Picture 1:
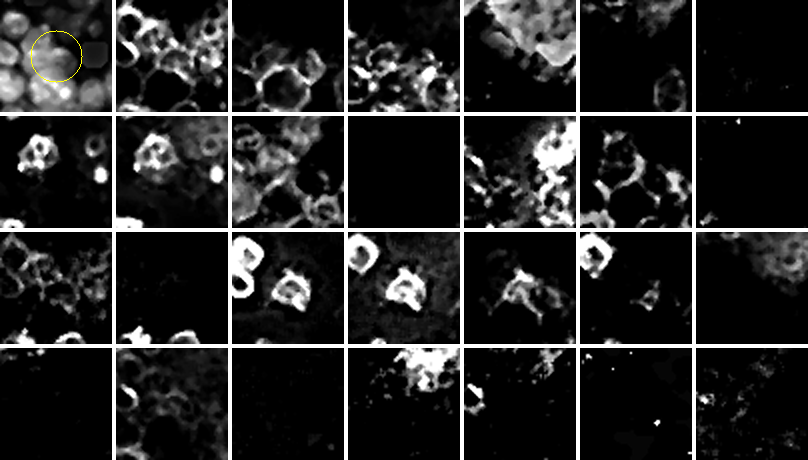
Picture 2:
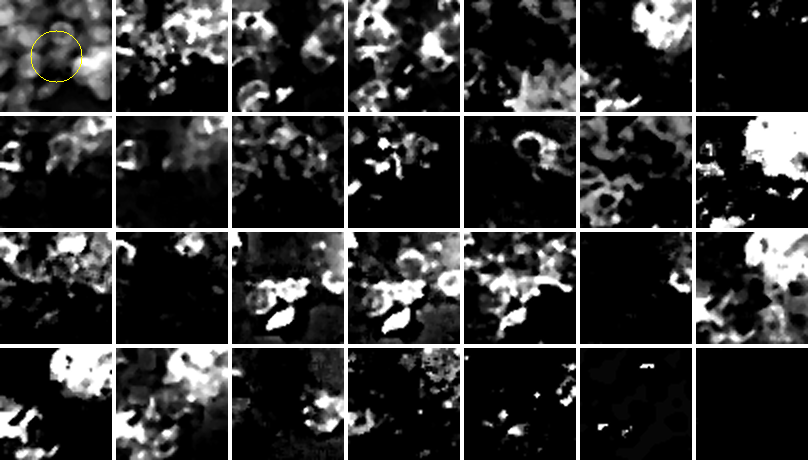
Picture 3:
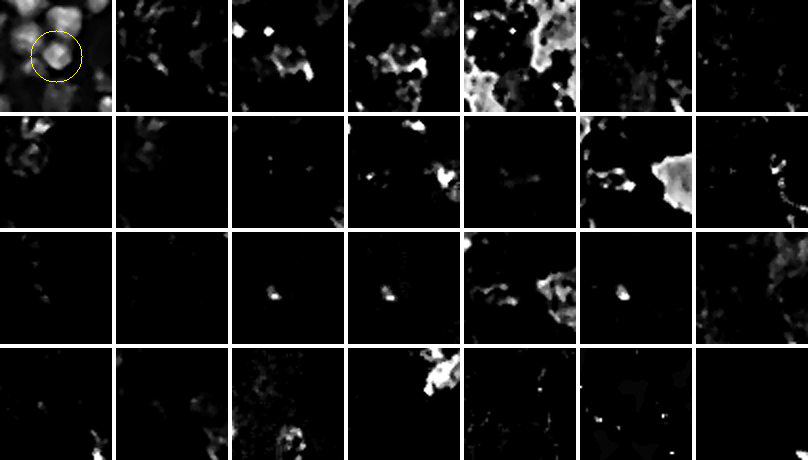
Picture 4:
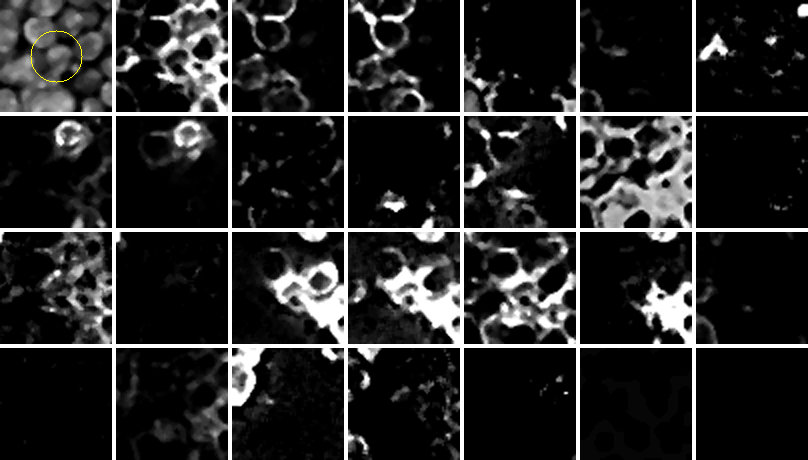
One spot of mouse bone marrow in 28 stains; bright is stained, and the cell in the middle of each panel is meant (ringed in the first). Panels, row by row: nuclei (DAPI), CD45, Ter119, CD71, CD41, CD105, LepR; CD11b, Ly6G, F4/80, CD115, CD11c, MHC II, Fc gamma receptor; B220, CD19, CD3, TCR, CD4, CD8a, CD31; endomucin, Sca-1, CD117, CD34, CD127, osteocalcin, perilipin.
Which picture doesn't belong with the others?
Picture 3.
